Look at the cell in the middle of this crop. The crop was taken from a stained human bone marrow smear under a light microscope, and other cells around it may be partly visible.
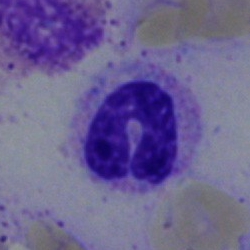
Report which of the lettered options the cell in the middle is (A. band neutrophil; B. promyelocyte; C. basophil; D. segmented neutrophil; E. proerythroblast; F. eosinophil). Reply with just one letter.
A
